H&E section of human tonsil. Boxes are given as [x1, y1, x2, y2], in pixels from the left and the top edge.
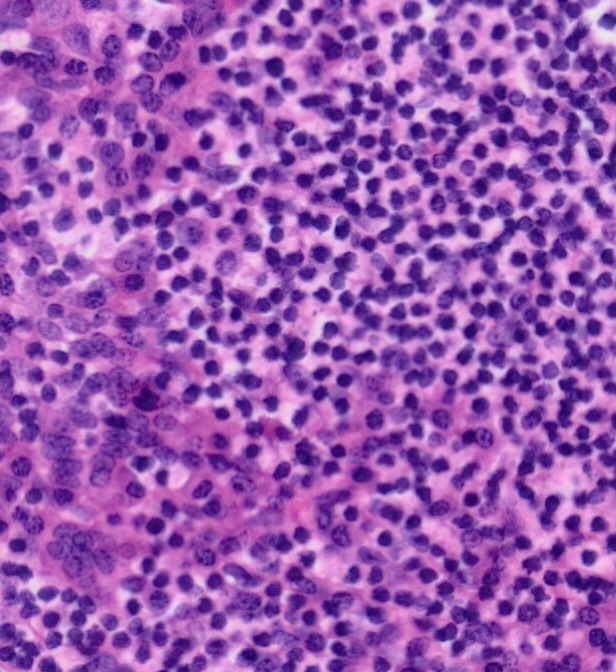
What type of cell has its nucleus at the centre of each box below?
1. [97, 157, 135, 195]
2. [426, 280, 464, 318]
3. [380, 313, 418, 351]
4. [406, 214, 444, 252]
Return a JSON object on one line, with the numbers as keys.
{"1": "plasma cell", "2": "small lymphocyte", "3": "small lymphocyte", "4": "small lymphocyte"}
